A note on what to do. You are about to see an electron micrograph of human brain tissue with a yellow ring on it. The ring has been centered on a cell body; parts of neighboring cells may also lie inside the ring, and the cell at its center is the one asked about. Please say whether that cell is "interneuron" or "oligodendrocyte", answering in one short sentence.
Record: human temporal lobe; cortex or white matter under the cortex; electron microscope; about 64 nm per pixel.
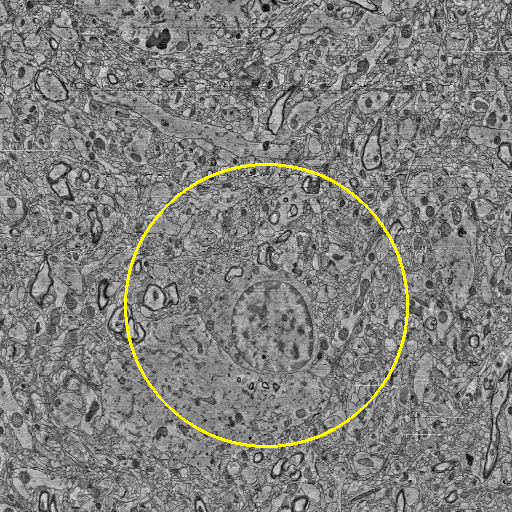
The yellow ring sits on an oligodendrocyte.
